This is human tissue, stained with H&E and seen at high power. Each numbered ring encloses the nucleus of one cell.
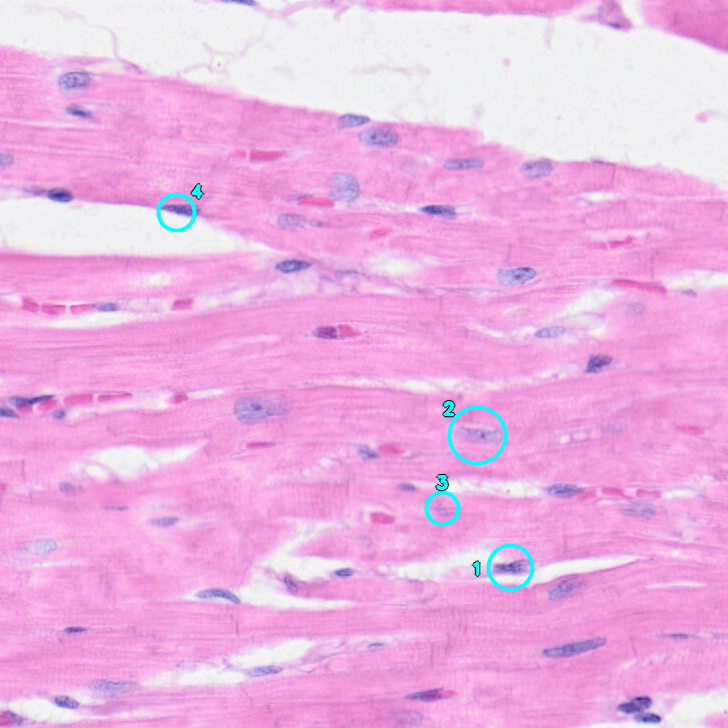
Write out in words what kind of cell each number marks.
Cell 1 is an endothelial cell, cell 2 is a cardiomyocyte, cell 3 is a cardiomyocyte and cell 4 is an endothelial cell.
